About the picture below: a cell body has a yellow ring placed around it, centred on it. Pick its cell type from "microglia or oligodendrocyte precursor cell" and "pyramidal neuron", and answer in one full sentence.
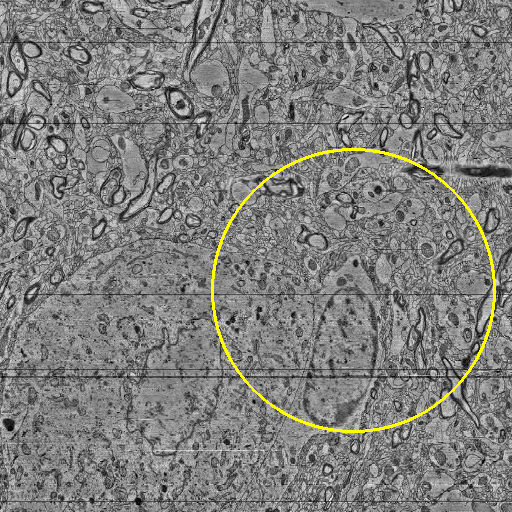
In the picture, a microglial cell or oligodendrocyte precursor cell is the cell sitting at the centre of the yellow ring.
